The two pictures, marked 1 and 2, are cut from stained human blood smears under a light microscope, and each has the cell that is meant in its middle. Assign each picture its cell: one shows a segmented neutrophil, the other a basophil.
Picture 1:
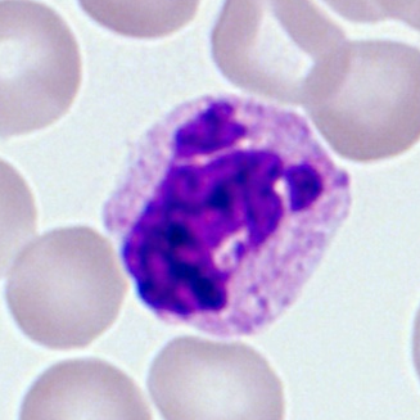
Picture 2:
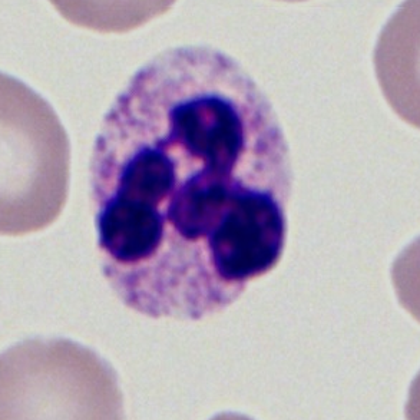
1: basophil
2: segmented neutrophil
